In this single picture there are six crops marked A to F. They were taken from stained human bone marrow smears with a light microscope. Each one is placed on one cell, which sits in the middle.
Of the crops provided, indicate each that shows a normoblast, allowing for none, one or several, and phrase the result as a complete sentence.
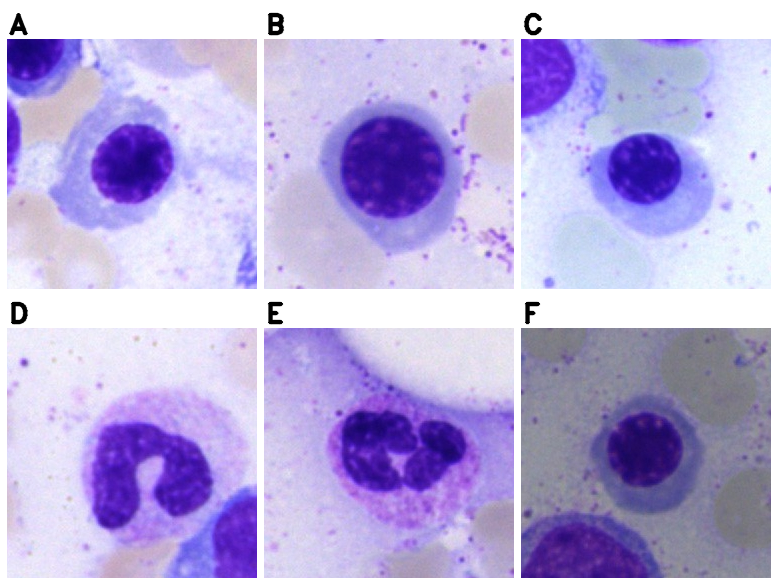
Crops A, B, C and F show normoblasts, going by the cell in the middle of each.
